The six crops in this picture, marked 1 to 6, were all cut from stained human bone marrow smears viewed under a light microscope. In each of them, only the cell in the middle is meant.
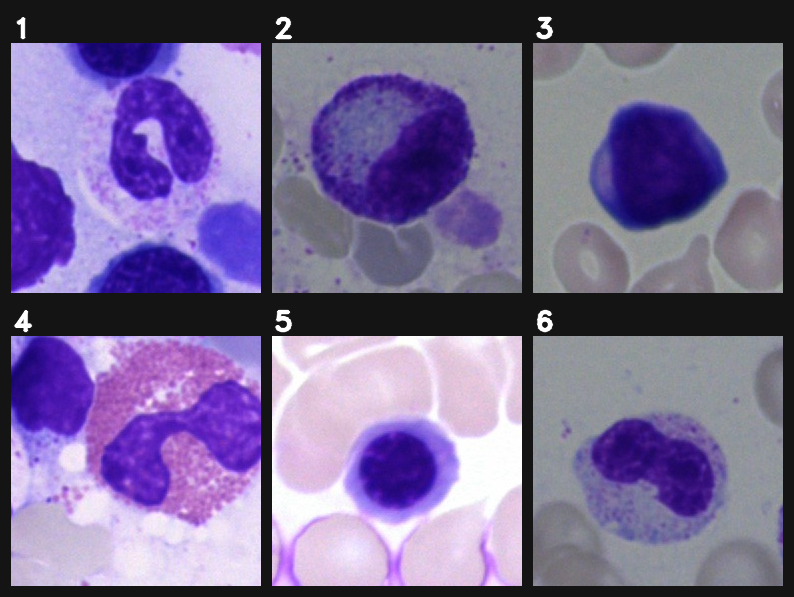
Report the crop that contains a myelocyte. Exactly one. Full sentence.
Of these crops, it is crop 2 that shows a myelocyte.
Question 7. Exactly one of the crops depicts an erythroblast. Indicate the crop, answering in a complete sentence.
As for which crop shows an erythroblast, it is crop 5.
